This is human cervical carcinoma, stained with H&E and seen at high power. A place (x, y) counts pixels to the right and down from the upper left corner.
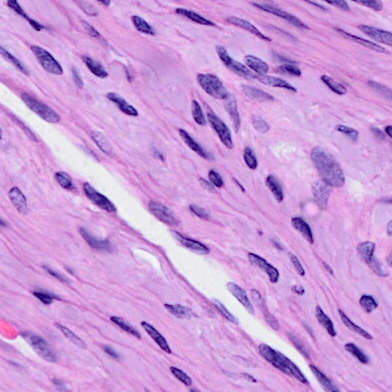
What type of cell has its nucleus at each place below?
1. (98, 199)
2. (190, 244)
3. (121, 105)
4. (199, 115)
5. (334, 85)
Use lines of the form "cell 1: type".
cell 1: endothelial cell
cell 2: endothelial cell
cell 3: fibroblast
cell 4: fibroblast
cell 5: fibroblast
